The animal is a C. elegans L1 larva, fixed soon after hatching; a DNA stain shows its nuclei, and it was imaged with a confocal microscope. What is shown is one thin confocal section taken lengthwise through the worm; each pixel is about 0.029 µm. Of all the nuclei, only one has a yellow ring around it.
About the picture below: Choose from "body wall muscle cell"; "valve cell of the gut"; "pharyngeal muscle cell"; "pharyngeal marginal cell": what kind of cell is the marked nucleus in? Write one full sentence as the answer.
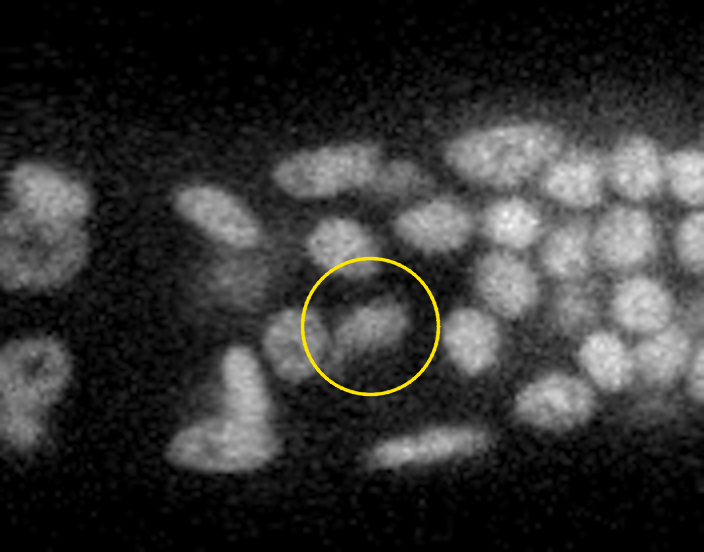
The cell with the marked nucleus is a pharyngeal marginal cell.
